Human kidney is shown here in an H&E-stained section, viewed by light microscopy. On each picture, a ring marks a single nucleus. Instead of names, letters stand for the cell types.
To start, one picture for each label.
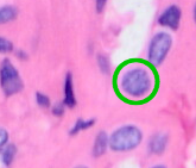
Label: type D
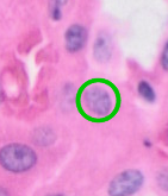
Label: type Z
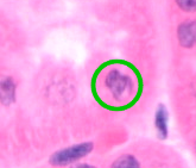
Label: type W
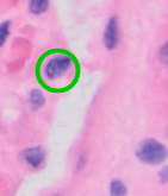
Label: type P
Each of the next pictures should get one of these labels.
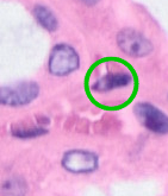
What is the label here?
type P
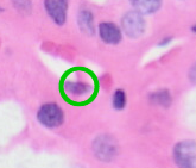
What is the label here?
type P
